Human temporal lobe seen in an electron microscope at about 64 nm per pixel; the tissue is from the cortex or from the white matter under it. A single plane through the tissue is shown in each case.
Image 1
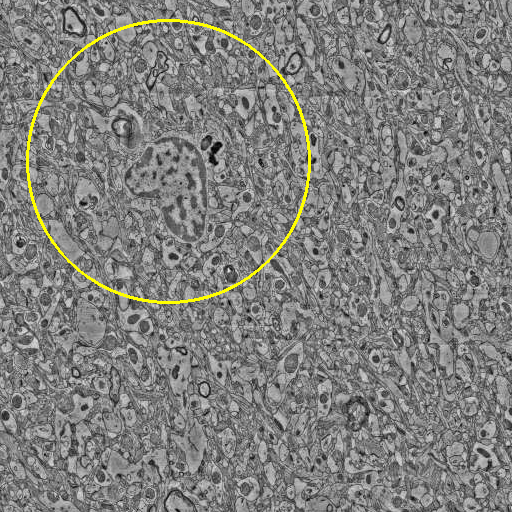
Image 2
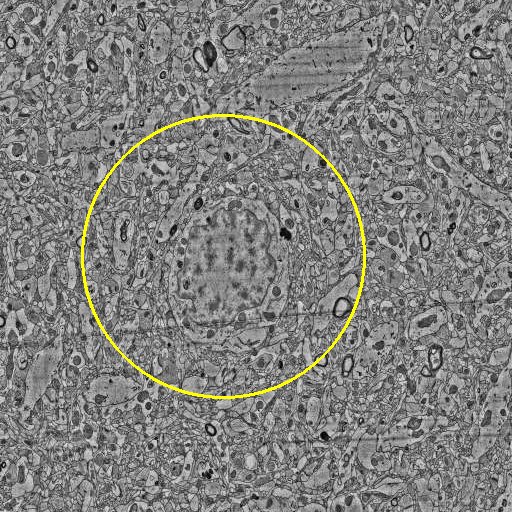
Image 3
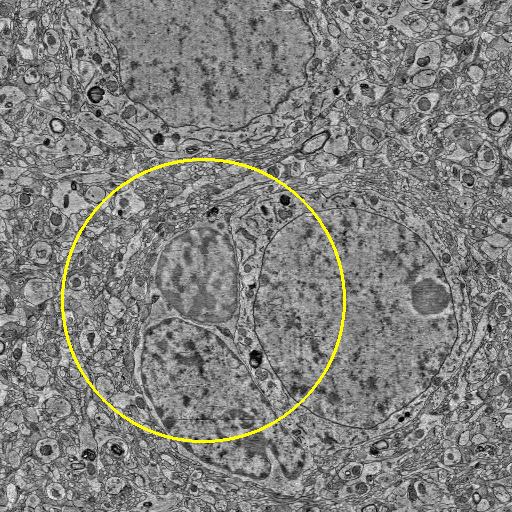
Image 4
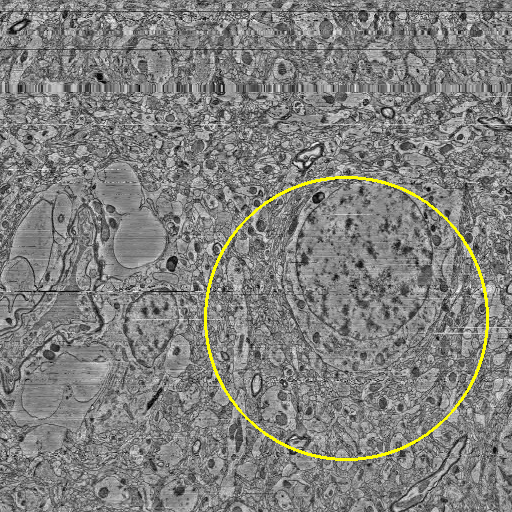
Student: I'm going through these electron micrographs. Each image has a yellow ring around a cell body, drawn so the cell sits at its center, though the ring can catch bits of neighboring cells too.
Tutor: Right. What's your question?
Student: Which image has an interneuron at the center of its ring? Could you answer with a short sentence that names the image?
Image 2 shows it at the center of its ring.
